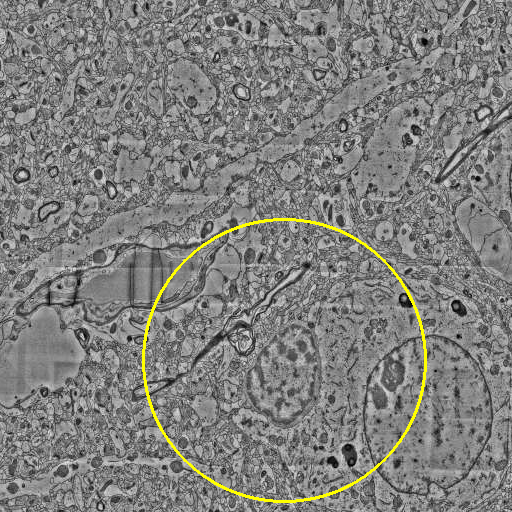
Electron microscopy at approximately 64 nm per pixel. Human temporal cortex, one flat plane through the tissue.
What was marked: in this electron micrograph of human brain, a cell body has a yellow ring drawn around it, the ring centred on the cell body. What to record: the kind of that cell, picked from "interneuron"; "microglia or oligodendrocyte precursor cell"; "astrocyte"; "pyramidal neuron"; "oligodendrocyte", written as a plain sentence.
The centred cell is an oligodendrocyte.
